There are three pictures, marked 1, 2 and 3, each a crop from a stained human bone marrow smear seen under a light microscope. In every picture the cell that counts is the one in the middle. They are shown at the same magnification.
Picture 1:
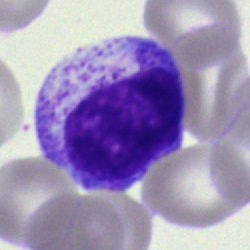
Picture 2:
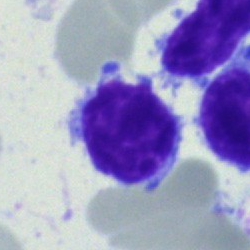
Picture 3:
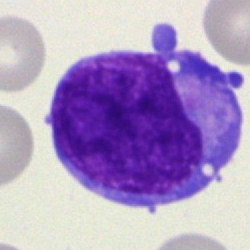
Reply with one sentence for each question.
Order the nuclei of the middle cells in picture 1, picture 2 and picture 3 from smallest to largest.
The order is 2, 1, 3, beginning with the smallest.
